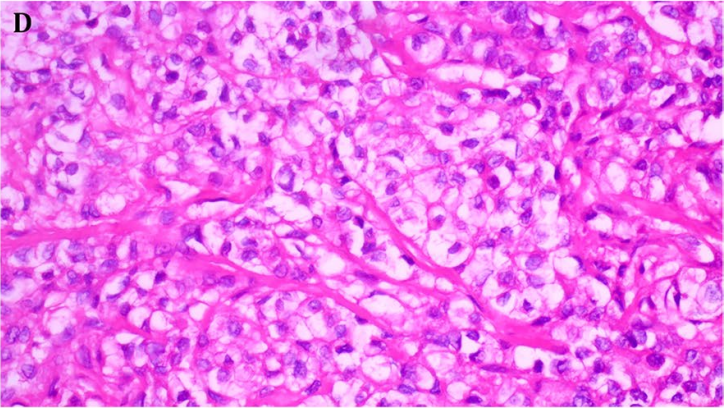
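Neoplastic cells with markedly clear cytoplasm are packed into organoid groups separated by delicate pink fibrous strands. The cytoplasm looks empty or finely wispy rather than pink. The cells are closely packed with little stroma between them apart from the thin septa.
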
